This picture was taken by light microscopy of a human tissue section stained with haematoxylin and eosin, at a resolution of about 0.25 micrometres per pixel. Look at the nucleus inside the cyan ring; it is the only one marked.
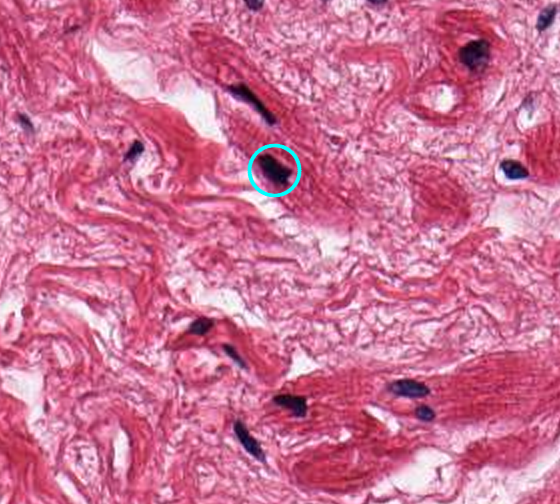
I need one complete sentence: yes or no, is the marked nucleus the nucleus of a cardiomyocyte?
Yes, the cell that houses the marked nucleus is a cardiomyocyte.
